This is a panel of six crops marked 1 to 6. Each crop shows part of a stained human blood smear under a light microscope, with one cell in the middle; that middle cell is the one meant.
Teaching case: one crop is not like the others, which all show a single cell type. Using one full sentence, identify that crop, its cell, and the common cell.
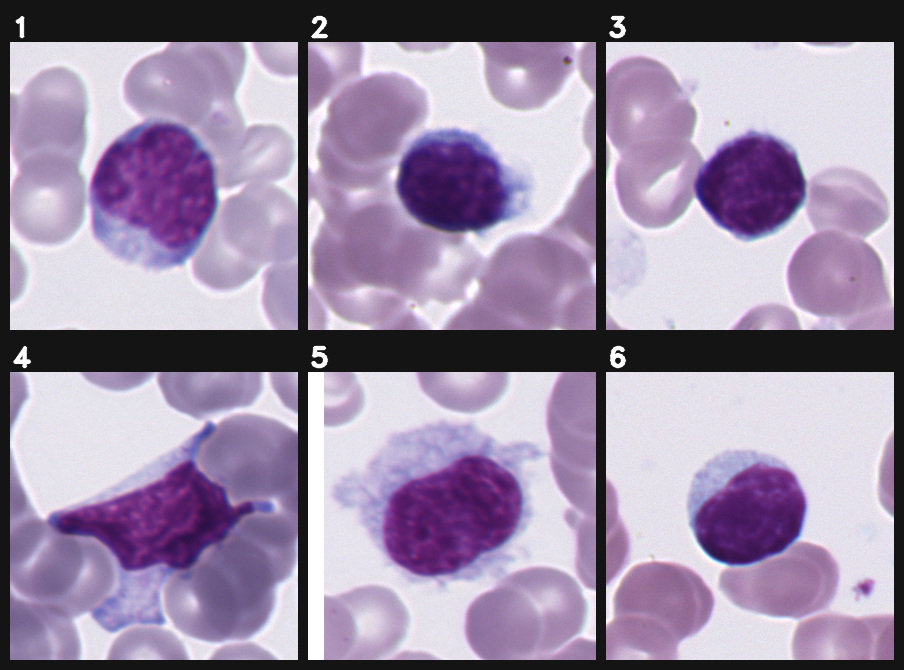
The single exception is crop 5, which is a hairy cell; all other crops show typical lymphocytes.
